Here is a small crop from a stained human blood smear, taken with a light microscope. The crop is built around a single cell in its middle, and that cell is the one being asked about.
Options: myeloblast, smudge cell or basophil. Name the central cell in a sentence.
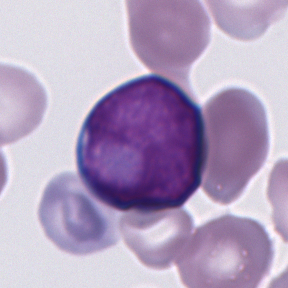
The cell found in the middle of this crop is a myeloblast.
